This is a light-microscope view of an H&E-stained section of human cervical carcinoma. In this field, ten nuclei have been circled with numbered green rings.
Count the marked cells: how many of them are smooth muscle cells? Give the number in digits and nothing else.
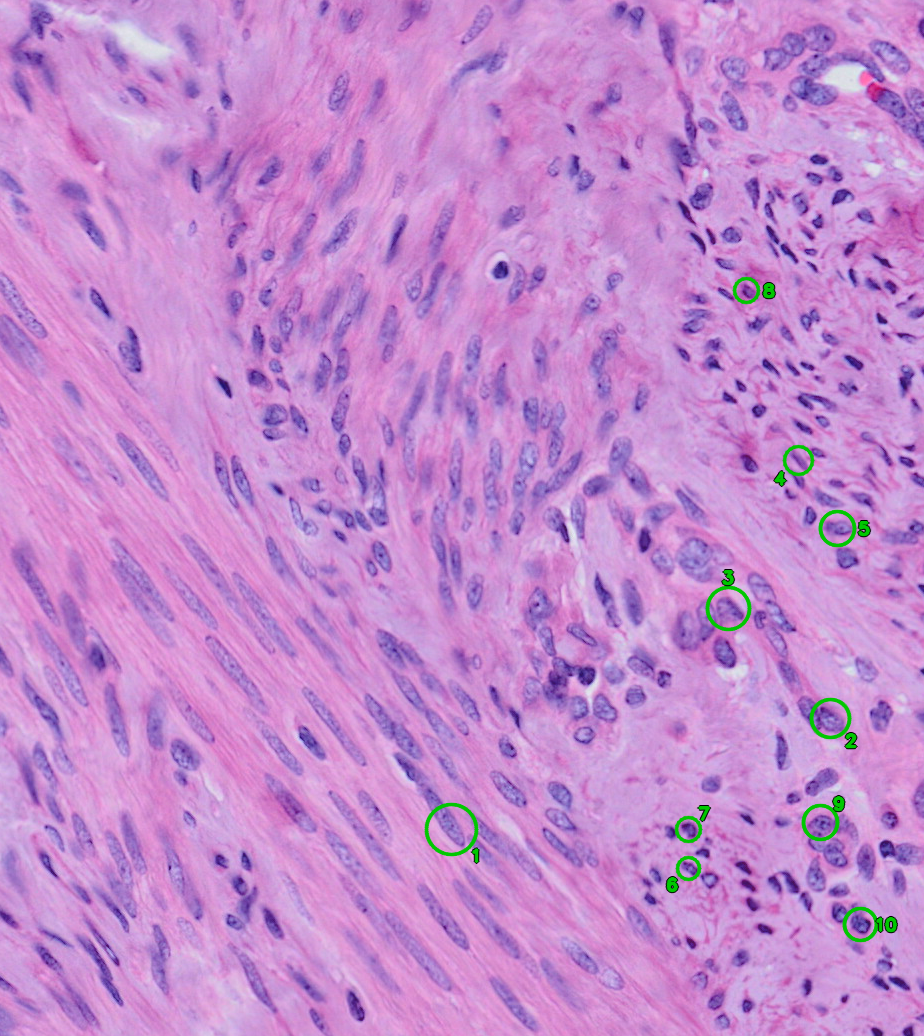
6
